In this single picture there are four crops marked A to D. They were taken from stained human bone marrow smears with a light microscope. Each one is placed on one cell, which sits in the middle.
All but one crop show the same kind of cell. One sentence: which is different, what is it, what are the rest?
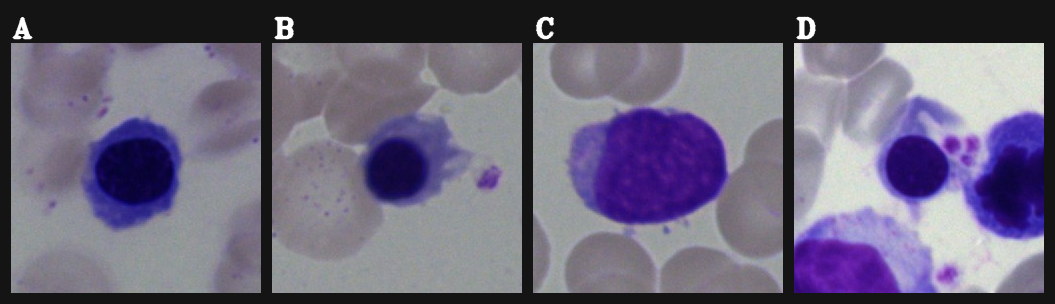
Among these crops, erythroblasts occur in all but crop C, which contains a blast.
